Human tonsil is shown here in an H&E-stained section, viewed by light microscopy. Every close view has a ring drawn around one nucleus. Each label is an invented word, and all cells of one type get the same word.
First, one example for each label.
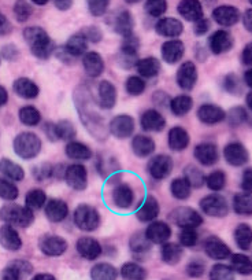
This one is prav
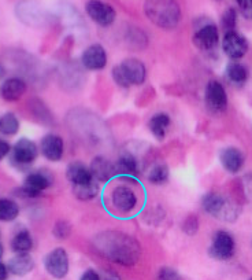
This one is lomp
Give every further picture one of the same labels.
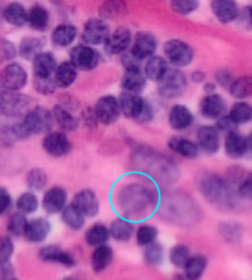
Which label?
lomp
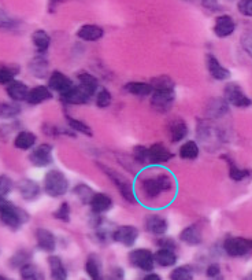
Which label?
lomp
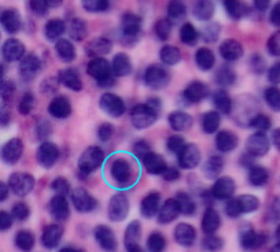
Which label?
prav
